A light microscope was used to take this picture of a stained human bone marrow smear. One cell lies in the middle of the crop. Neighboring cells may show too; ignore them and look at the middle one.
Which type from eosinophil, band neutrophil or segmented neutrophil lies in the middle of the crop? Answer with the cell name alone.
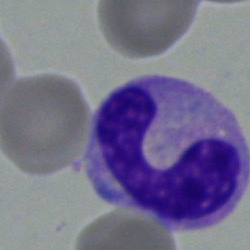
band neutrophil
